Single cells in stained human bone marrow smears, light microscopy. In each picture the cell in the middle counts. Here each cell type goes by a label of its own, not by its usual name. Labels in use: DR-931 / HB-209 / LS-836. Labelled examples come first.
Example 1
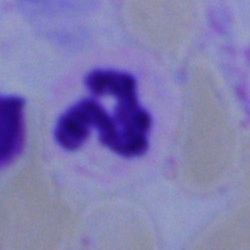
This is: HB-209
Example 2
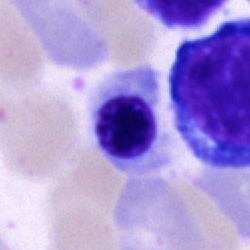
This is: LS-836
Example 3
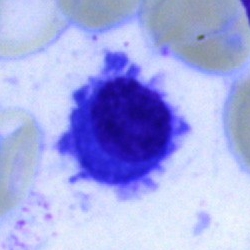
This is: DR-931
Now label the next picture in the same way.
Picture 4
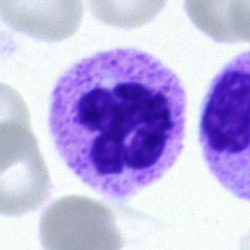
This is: HB-209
